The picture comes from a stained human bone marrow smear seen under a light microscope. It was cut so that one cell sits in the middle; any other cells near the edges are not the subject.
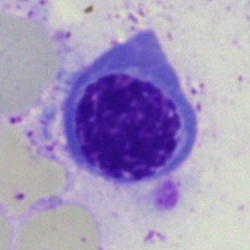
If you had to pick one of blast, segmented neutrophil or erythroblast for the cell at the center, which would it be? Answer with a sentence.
The cell featured at the centre of this crop is an erythroblast.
